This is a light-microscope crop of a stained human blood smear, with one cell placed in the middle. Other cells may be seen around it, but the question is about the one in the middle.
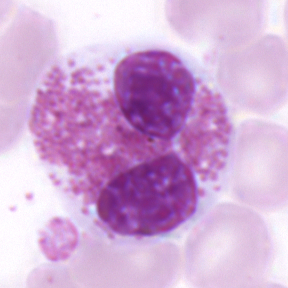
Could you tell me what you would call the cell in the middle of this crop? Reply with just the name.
eosinophil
